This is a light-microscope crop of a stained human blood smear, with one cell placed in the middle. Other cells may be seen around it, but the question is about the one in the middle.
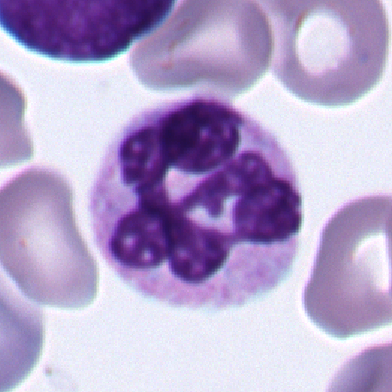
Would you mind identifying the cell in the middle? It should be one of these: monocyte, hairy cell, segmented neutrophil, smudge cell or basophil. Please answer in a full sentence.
The centered cell in this crop is a segmented neutrophil.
